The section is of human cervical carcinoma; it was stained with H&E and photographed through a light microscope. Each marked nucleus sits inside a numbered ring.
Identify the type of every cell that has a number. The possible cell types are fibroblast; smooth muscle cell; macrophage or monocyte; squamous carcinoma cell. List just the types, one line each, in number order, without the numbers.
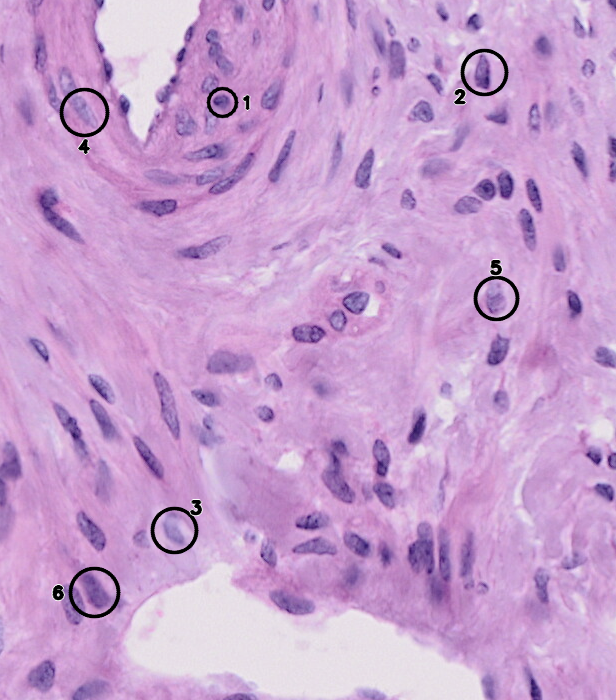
smooth muscle cell
fibroblast
fibroblast
smooth muscle cell
fibroblast
fibroblast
